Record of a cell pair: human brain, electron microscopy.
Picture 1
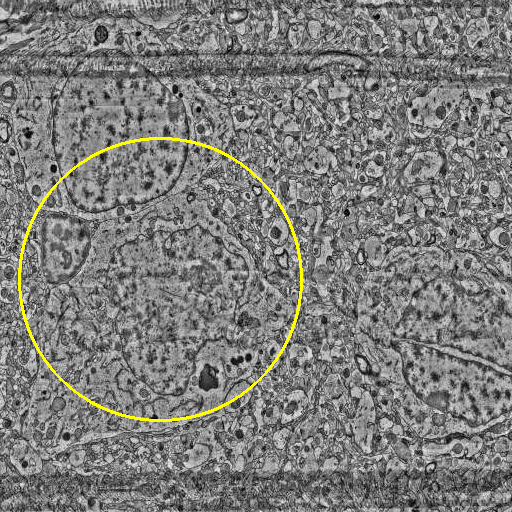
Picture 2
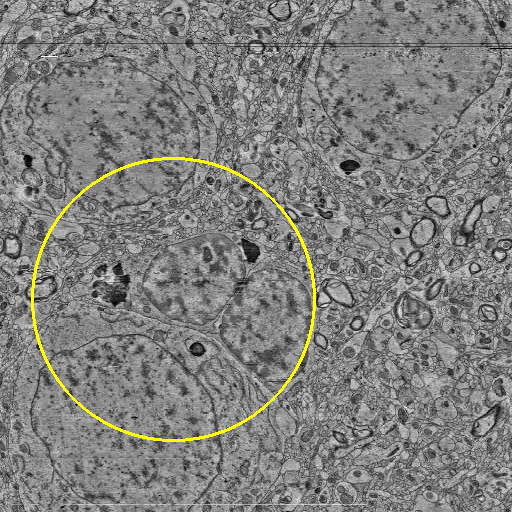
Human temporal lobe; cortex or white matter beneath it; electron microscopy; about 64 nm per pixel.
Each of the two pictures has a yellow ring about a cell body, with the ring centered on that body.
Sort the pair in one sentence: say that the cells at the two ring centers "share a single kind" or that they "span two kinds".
The cells centered in the rings of Pictures 1 and 2 span two kinds.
